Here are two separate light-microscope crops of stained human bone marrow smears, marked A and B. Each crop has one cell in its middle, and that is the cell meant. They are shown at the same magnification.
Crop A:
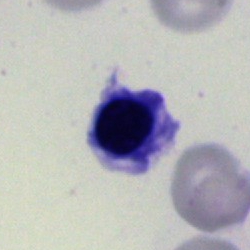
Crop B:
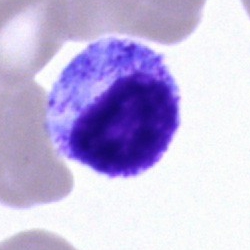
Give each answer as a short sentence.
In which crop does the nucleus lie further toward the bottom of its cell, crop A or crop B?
Seen within its cell, the nucleus in crop B lies further toward the bottom.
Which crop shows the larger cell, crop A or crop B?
It is the cell in crop B, about 2.5 times as large in area as the cell in crop A.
